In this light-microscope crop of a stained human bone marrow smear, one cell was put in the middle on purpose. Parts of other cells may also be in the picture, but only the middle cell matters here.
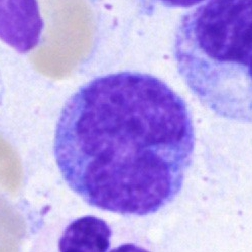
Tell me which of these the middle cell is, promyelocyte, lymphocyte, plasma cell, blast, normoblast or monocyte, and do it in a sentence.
In the middle of this smear crop is a monocyte.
